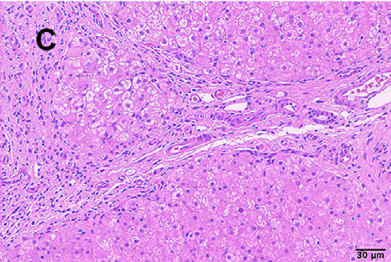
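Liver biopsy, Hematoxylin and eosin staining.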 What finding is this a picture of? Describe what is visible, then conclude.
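Many small dark round nuclei cluster within fibrous stroma. The infiltrate lies in a band between plates of pale hepatocytes. Small vessels are present within the infiltrated area.
Answer: lymphocytic infiltration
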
